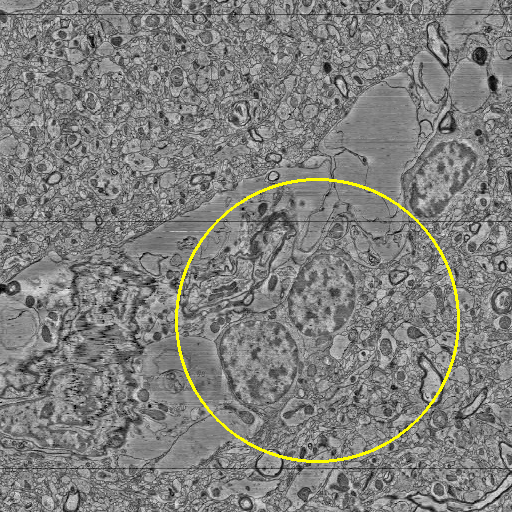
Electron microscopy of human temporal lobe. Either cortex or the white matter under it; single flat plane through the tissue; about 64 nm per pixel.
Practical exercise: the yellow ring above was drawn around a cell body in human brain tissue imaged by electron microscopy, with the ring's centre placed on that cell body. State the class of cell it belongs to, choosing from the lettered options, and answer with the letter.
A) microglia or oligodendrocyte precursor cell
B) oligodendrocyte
B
